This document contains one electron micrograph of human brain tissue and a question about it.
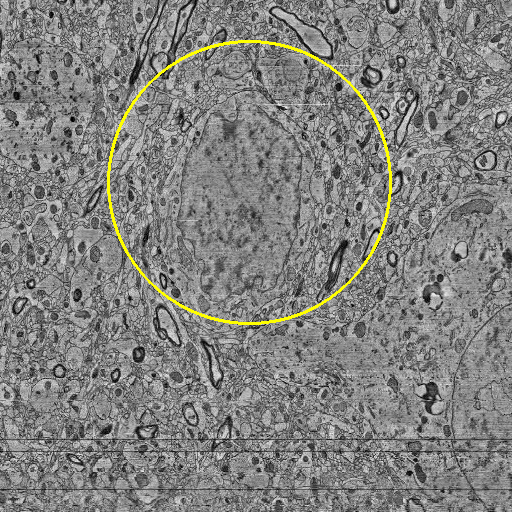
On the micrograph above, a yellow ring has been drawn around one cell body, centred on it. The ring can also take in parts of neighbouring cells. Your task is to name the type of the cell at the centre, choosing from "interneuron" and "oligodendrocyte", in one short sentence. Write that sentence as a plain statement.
Here the ring is centred on an interneuron.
